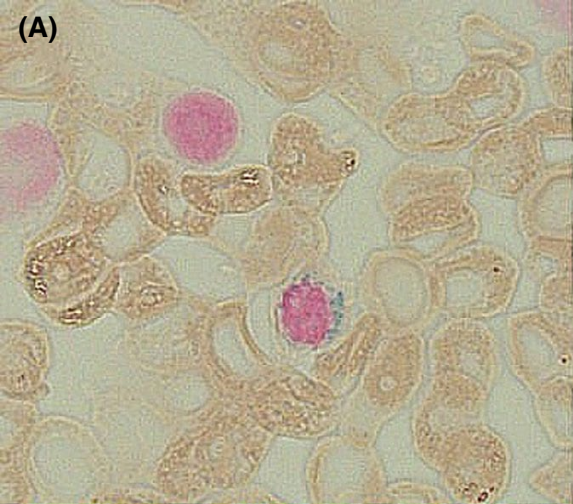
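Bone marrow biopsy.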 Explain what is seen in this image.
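A nucleated red cell precursor with a round pink-red nucleus lies among many tan, non-nucleated red cells. Small blue granules are clustered along the edge of its nucleus, partly encircling it, the pattern of a ring sideroblast.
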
